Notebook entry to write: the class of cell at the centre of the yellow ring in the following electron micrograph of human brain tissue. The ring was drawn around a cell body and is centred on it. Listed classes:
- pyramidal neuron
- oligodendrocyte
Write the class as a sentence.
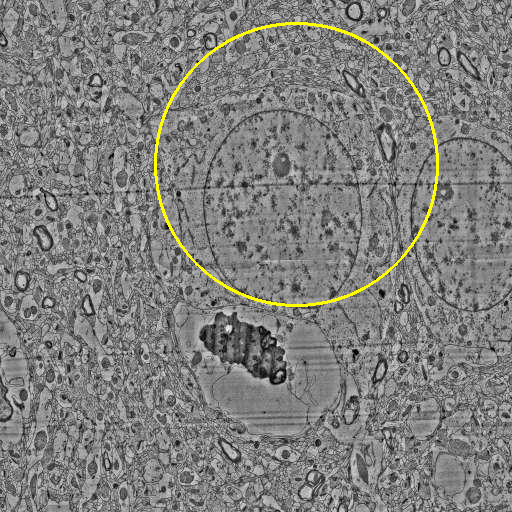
The yellow ring sits on a pyramidal neuron.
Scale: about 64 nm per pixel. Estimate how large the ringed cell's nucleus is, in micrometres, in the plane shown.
About 13 micrometres by about 10 micrometres in this plane.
